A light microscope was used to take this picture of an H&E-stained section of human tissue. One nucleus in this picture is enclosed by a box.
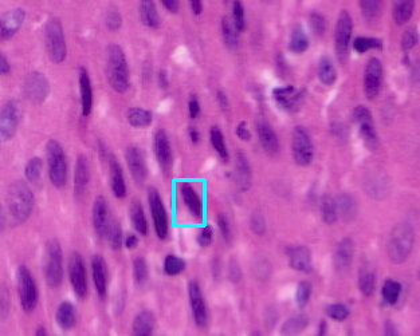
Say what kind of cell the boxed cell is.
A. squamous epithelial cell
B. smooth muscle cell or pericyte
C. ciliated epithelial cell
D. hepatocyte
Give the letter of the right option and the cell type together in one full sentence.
Option A properly identifies the boxed cell as a squamous epithelial cell.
